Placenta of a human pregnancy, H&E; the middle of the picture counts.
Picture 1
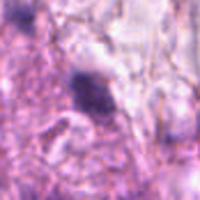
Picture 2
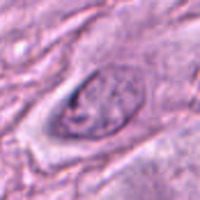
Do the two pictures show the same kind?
No: a vascular myocyte, then a maternal decidual cell.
